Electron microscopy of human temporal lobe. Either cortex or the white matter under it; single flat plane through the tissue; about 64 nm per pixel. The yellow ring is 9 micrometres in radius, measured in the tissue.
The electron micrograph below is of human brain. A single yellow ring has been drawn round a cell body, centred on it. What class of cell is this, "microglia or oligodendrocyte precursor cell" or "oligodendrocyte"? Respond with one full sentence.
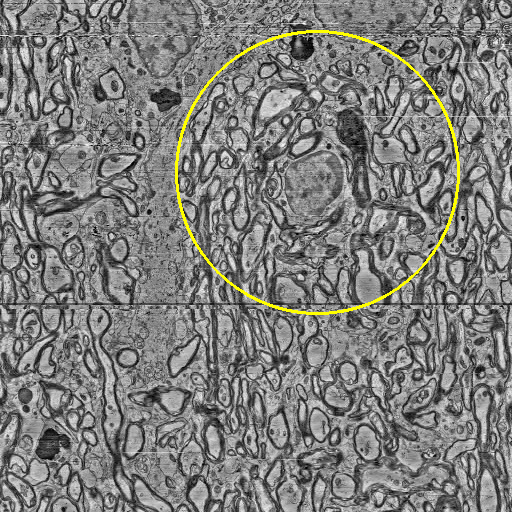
In the micrograph, the cell centred inside the yellow ring is a microglial cell or oligodendrocyte precursor cell.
